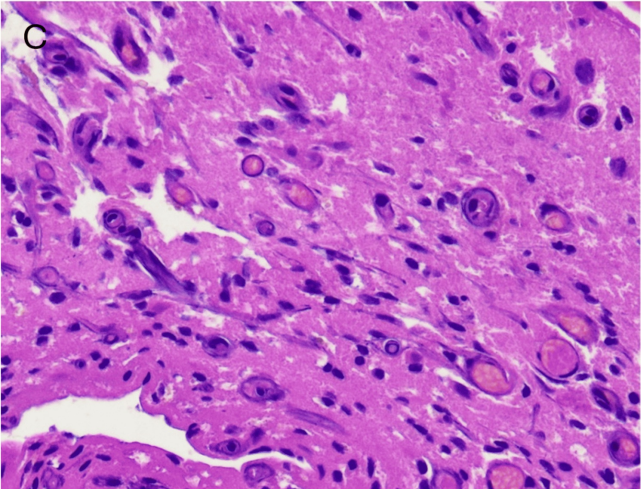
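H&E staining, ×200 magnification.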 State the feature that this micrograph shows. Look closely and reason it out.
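Newly formed capillaries. Many small round to oval profiles are scattered through pink stroma.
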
